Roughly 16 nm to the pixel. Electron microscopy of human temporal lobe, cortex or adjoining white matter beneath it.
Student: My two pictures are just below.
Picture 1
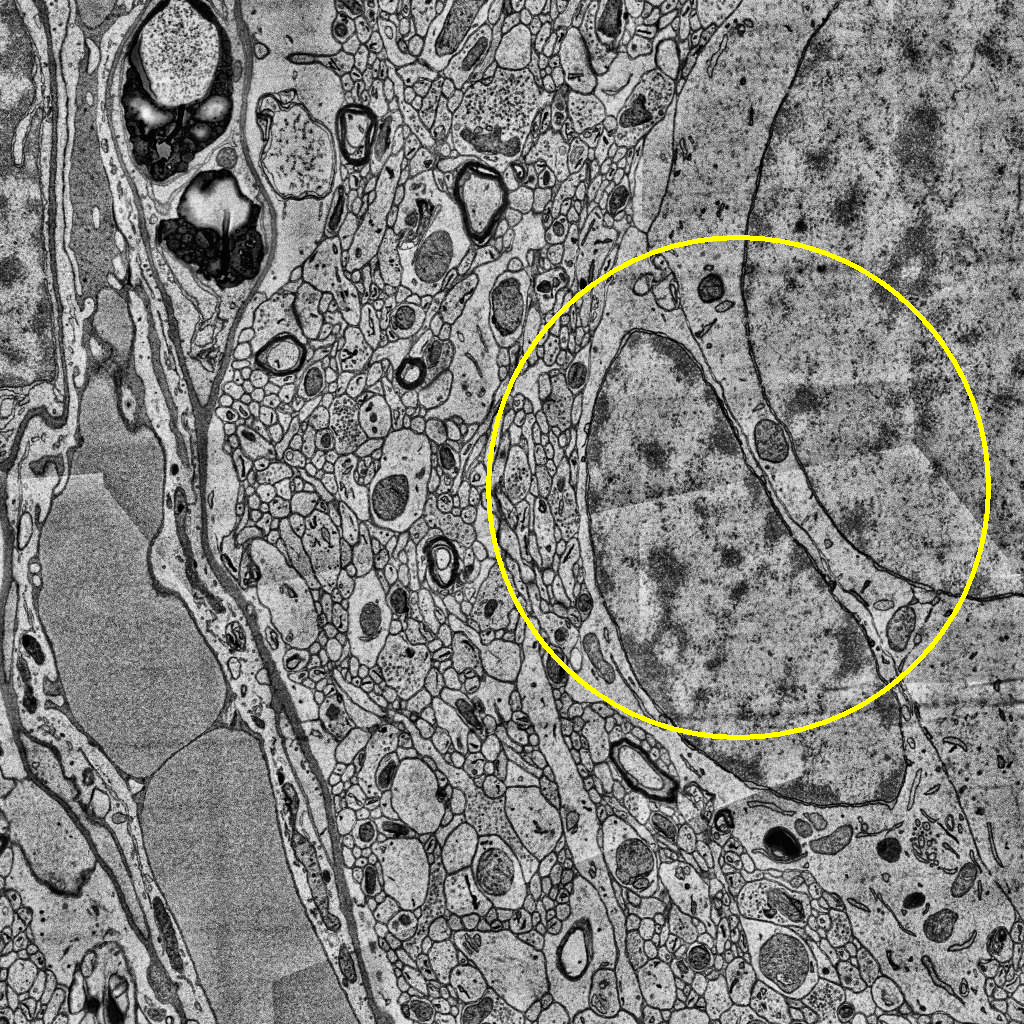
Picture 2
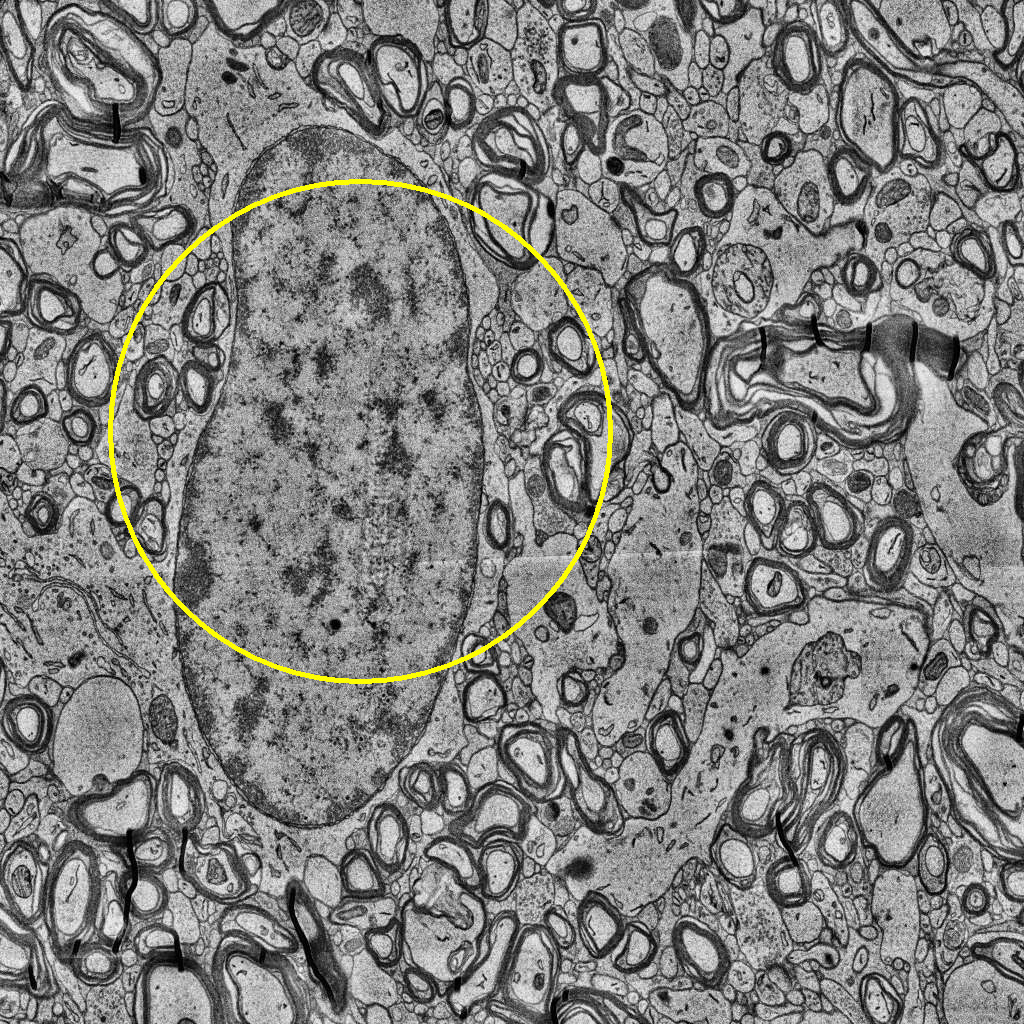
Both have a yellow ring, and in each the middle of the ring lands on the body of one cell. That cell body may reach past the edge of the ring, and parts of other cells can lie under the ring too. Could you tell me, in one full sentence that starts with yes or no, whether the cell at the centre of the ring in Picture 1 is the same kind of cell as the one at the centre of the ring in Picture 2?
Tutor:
Yes, the two cells are of the same kind.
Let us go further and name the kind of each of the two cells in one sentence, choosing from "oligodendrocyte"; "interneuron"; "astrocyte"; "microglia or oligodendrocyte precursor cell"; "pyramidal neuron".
Each cell at the centre of a ring is a microglial cell or oligodendrocyte precursor cell.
